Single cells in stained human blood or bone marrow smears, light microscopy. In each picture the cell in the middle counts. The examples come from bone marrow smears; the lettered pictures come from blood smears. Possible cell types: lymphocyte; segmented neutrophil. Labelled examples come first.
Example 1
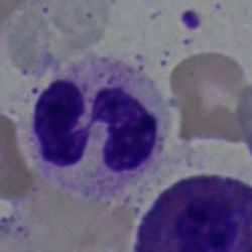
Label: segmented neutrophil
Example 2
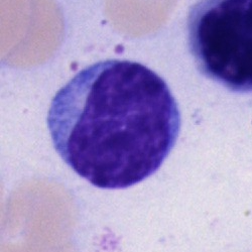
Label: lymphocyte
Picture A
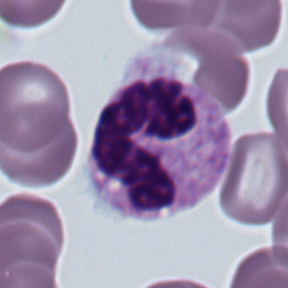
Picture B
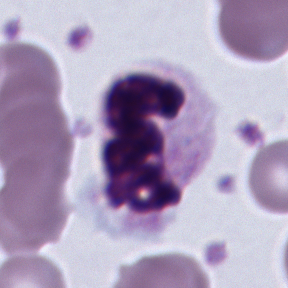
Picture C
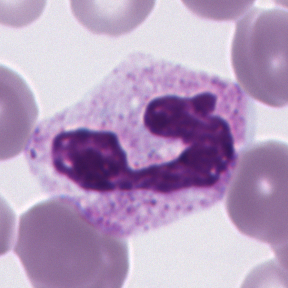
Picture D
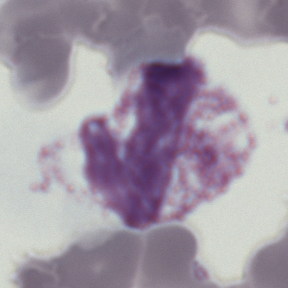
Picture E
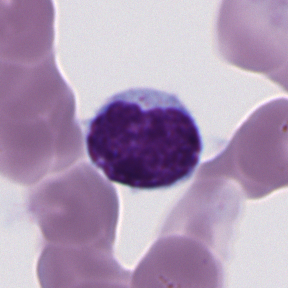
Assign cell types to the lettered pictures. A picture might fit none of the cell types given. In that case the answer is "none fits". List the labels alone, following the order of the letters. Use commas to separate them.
segmented neutrophil, segmented neutrophil, segmented neutrophil, segmented neutrophil, lymphocyte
